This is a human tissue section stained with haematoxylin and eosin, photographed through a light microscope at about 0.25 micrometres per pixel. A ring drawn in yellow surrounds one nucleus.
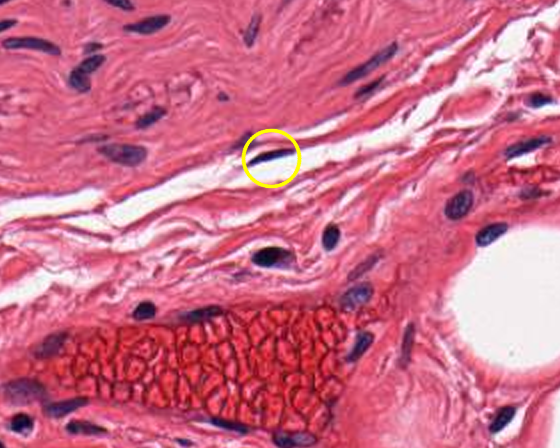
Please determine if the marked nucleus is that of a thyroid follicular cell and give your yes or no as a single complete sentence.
No, the marked nucleus is carried by a supporting cell rather than by a thyroid follicular cell.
